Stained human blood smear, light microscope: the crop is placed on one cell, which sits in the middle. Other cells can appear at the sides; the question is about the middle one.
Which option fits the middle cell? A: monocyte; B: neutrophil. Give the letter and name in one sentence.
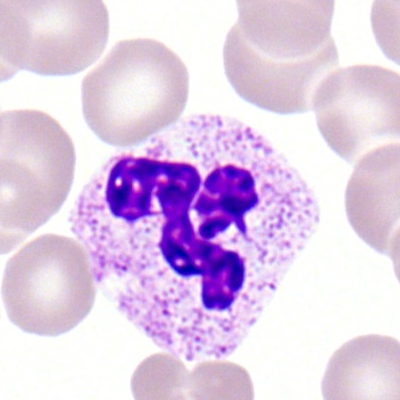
The correct option, B, names the middle cell as a neutrophil.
